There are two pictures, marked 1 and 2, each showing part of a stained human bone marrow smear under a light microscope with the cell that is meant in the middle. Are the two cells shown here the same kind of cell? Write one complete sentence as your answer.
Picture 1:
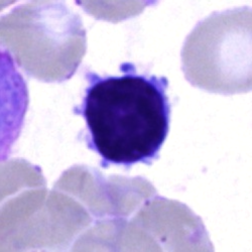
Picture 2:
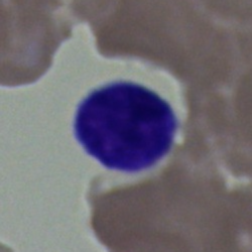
Yes, both are lymphocytes.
